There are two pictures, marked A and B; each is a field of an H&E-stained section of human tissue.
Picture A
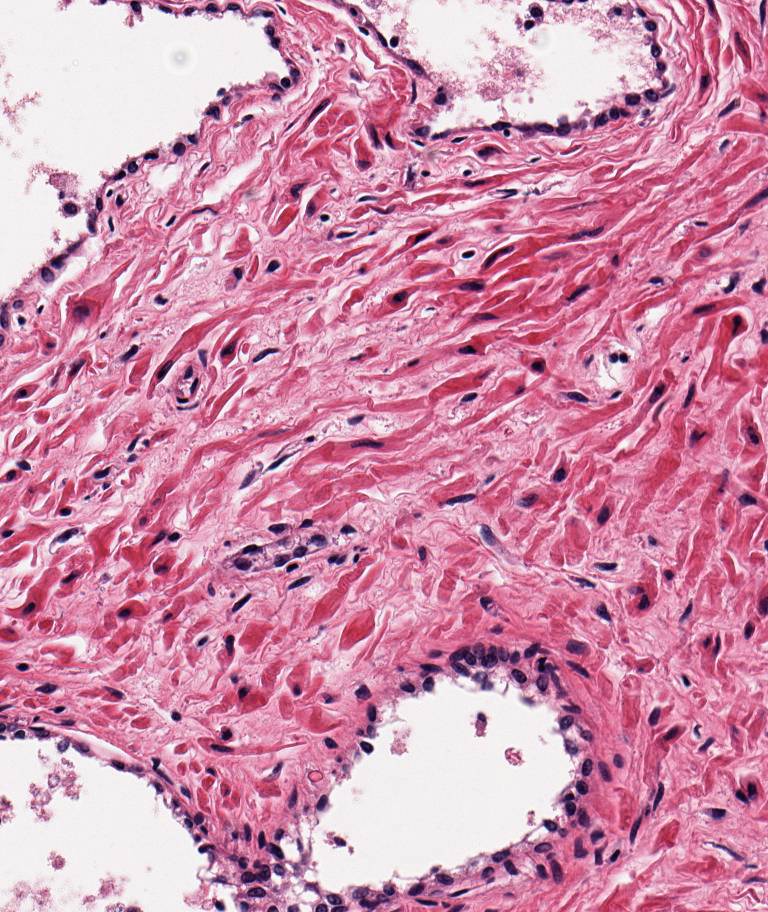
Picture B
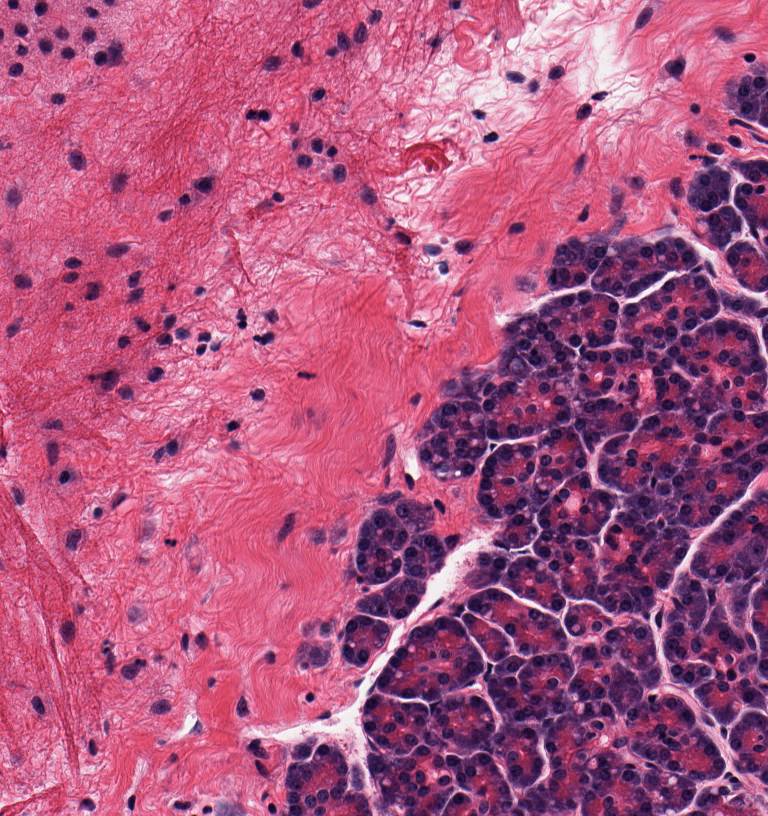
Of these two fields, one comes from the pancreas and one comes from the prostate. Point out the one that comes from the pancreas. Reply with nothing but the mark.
B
